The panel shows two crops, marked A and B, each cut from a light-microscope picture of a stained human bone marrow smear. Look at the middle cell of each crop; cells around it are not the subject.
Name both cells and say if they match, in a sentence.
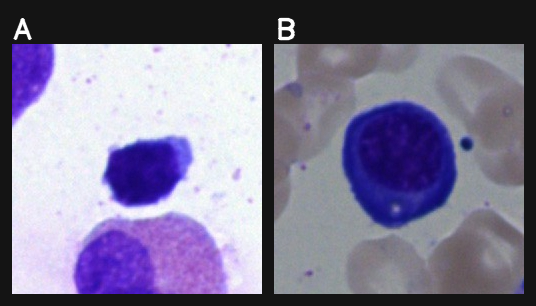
No, shown in crop A is a lymphocyte, and shown in crop B is a plasma cell.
